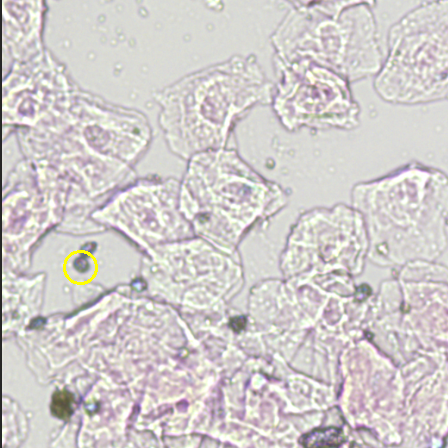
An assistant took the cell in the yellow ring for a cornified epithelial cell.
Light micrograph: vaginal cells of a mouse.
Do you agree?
I disagree, it is a leukocyte.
